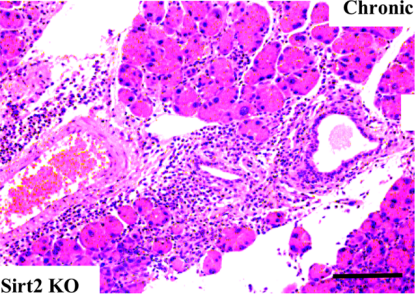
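Pancreas in H&E showing lobules of pink acinar tissue separated by widened interstitial areas. Acinar cells form clusters with round, dark blue basal nuclei and eosinophilic cytoplasm. Between the lobules, around a duct and a blood vessel filled with red blood cells, lies a dense infiltrate of many small cells with dark round nuclei, spreading into the surrounding connective tissue. Some lobules appear reduced and irregular, and pale pink loose stroma and clear spaces separate the remaining acinar clusters.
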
